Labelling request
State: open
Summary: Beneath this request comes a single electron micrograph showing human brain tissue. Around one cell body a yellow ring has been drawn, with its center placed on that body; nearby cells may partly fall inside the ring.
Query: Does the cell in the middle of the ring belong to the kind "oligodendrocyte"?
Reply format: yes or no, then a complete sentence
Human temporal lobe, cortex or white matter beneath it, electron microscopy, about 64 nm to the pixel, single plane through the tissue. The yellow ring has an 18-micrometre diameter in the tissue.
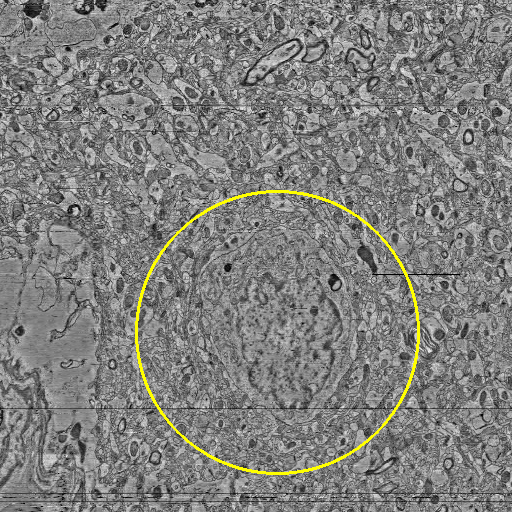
No, the cell sitting at the center of the ring in this picture is of a different kind.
